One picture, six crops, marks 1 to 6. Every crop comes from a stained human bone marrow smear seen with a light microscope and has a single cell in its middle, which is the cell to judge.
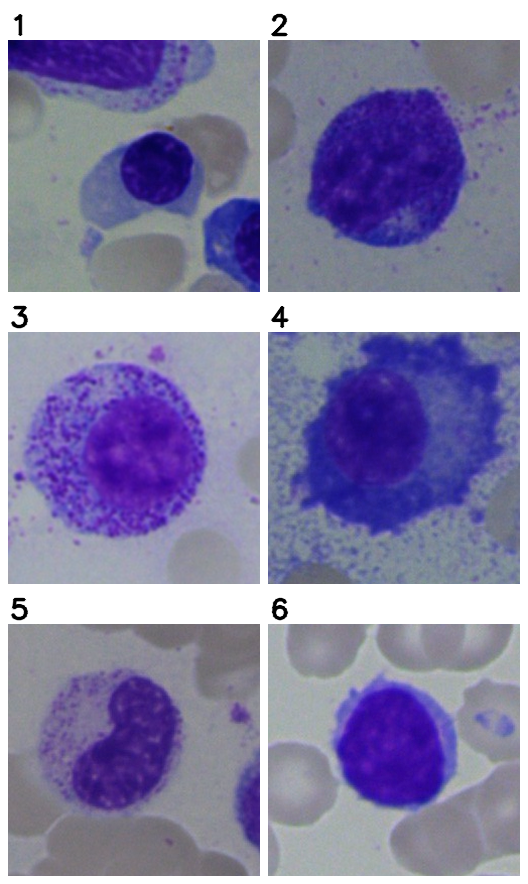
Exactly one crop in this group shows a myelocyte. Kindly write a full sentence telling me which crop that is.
Here the crop that shows a myelocyte is crop 3.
